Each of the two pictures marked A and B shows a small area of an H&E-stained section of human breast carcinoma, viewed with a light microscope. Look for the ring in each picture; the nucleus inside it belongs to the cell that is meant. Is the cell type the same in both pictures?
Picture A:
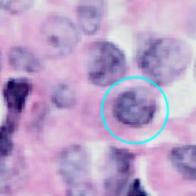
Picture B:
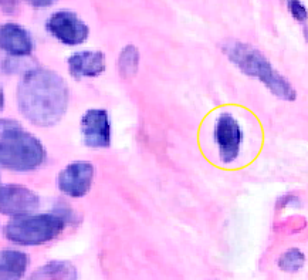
no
